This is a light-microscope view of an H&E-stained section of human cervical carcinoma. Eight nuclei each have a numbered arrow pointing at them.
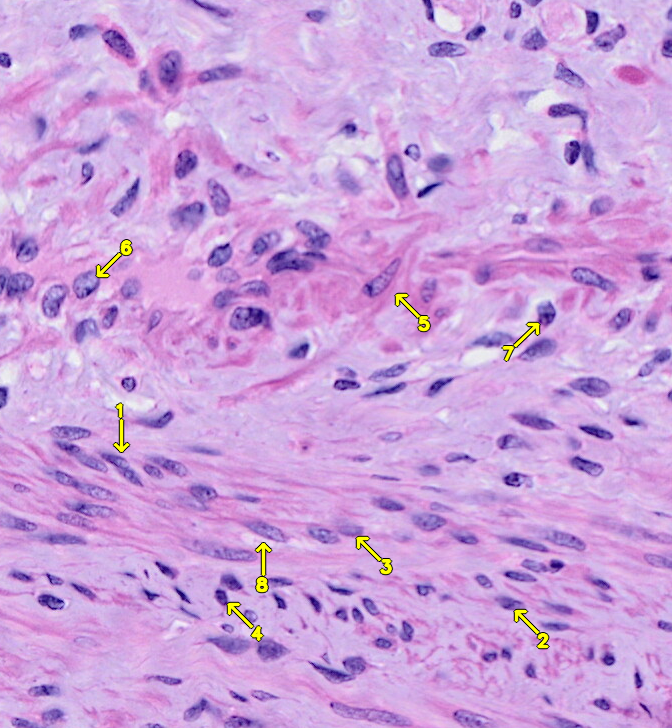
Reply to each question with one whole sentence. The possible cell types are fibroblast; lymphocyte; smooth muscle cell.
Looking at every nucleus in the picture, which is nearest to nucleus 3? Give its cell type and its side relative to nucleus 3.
Lying to the left of nucleus 3, the nearest nucleus is that of a smooth muscle cell.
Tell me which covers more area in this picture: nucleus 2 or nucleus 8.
Nucleus 8 covers more area, about 1.5 times as much as nucleus 2.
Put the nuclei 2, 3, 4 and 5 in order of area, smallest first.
By area, going up from the smallest, they rank 4, 2, 3, 5.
